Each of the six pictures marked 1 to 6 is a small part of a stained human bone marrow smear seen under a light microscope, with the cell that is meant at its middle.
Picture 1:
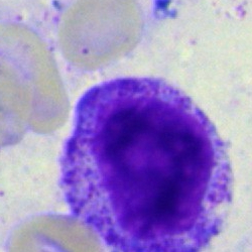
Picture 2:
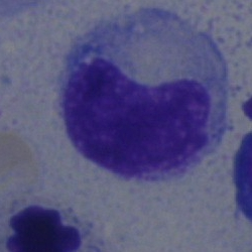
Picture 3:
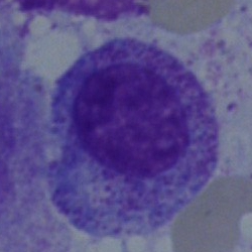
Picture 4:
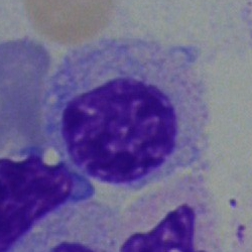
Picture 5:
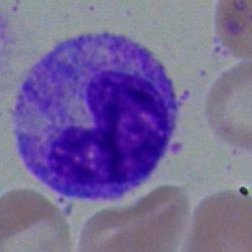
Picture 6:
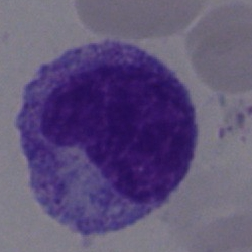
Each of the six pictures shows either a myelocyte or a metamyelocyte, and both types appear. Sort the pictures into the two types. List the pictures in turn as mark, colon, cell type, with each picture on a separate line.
1: myelocyte
2: metamyelocyte
3: myelocyte
4: myelocyte
5: metamyelocyte
6: metamyelocyte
